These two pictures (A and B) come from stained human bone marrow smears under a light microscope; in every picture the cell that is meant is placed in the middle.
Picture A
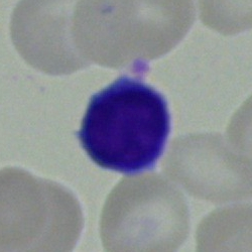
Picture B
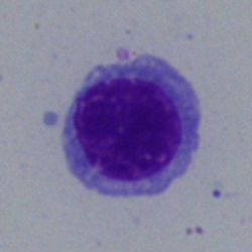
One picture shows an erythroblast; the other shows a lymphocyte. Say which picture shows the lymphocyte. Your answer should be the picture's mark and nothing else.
A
